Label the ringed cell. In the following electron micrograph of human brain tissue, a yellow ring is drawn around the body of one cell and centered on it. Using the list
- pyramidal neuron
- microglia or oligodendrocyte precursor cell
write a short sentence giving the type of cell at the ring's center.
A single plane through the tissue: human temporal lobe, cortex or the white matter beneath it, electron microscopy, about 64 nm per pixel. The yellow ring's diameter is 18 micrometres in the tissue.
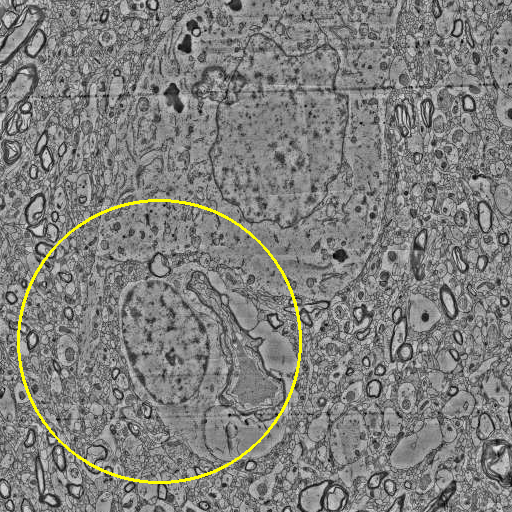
The cell body at the ring's center is that of a microglial cell or oligodendrocyte precursor cell.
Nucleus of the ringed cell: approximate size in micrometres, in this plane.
About 8 by 5 micrometres in this plane; clearly longer than it is wide.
